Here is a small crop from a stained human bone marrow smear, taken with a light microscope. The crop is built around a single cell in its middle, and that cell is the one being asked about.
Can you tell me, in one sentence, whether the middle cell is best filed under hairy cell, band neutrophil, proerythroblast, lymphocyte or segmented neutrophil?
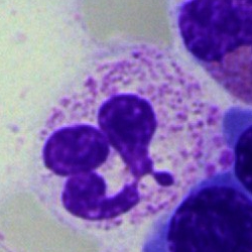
The cell centred in this crop is categorized as a segmented neutrophil.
